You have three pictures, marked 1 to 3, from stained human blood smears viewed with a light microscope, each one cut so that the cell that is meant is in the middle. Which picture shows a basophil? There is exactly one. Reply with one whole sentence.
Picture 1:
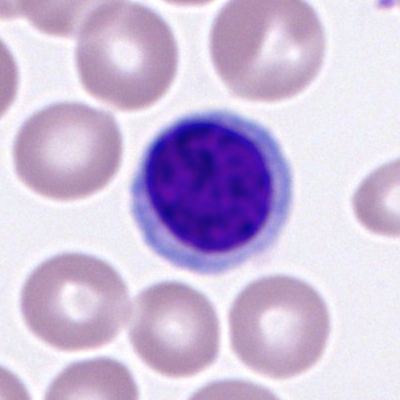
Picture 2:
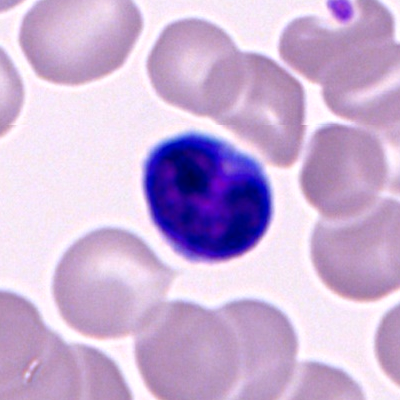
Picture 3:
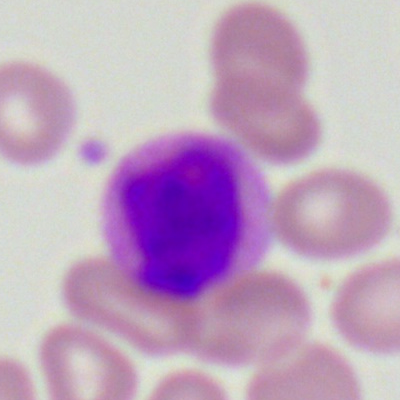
The picture with the basophil is 3.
